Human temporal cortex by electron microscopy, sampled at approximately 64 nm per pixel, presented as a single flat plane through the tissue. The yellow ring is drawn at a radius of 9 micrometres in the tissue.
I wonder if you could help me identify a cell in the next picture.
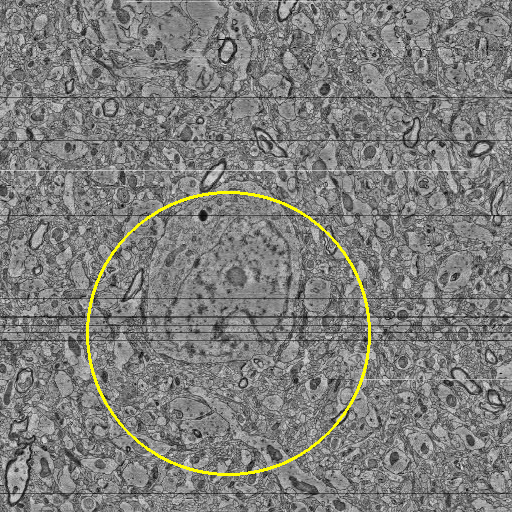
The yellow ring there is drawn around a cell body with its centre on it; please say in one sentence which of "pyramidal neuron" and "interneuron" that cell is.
The yellow ring is centred on an interneuron.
